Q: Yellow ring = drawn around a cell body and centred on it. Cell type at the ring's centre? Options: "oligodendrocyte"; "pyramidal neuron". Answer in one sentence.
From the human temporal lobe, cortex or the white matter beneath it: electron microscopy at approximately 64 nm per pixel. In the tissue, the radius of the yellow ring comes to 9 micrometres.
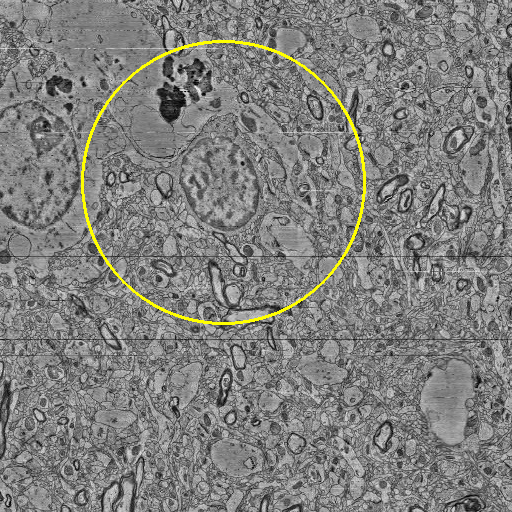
Centred in the ring is an oligodendrocyte.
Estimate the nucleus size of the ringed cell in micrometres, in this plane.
In this plane the nucleus is about 7 micrometres by 5.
